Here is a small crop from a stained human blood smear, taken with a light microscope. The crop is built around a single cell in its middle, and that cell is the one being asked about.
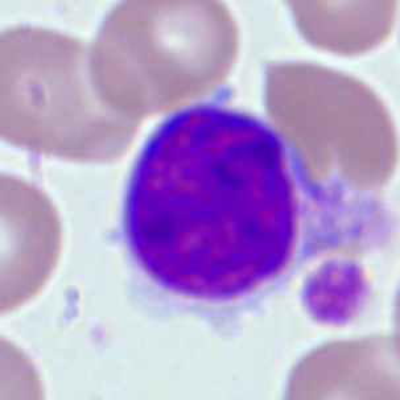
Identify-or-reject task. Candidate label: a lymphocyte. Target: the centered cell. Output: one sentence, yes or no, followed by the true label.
Yes, the cell that the crop is centered on is a lymphocyte.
